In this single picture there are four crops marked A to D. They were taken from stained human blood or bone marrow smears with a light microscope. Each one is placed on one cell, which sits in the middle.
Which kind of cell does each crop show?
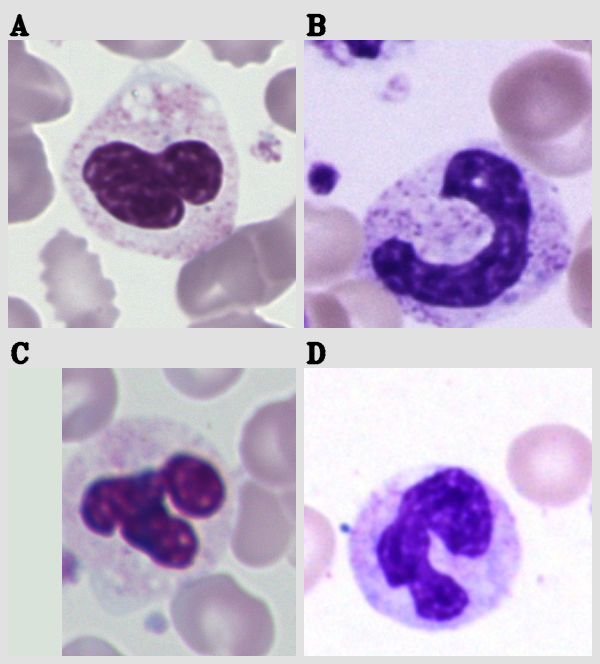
A: segmented neutrophil
B: band neutrophil
C: segmented neutrophil
D: segmented neutrophil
